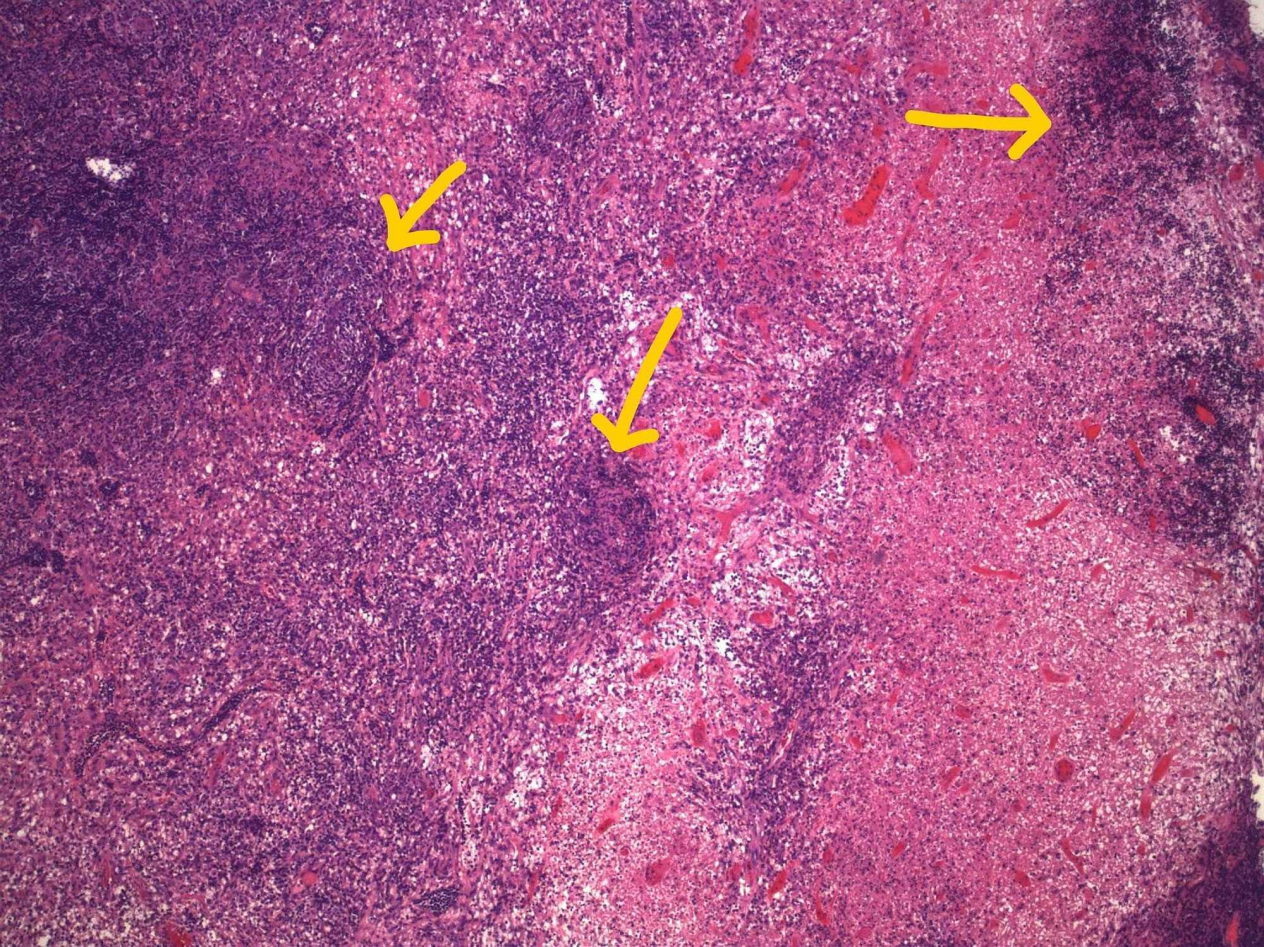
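This low-power view of lymph node shows a patchy pattern in which dense purple sheets of small lymphocytes alternate with irregular pale pink areas. Small red-filled blood vessels are scattered through the pink zones.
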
